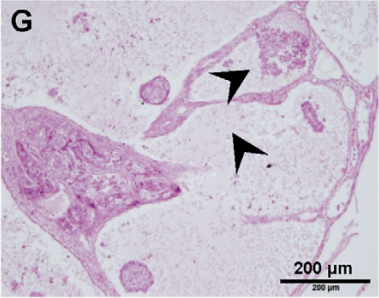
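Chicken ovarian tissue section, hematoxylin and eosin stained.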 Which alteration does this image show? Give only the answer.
cystic spaces containing papillary projections of neoplastic cells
